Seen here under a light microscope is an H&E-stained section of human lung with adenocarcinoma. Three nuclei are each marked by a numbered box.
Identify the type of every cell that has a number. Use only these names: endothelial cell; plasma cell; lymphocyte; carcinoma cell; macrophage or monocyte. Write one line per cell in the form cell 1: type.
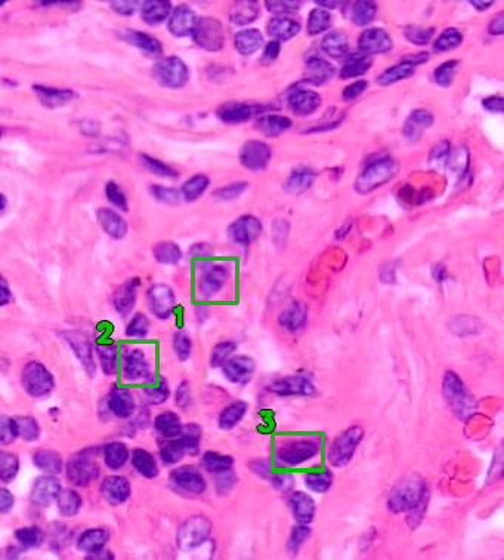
cell 1: lymphocyte
cell 2: lymphocyte
cell 3: plasma cell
